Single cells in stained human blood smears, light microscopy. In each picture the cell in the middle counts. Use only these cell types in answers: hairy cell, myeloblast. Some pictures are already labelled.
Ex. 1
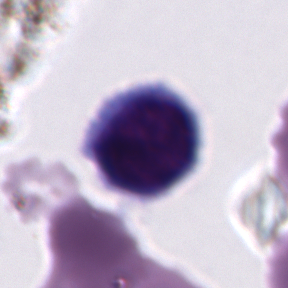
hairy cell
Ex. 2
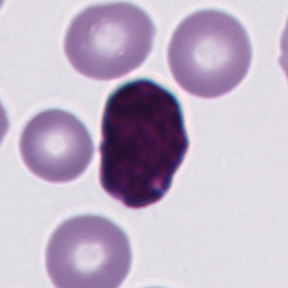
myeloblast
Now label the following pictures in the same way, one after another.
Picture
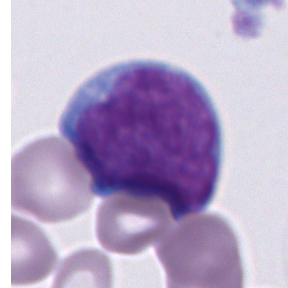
myeloblast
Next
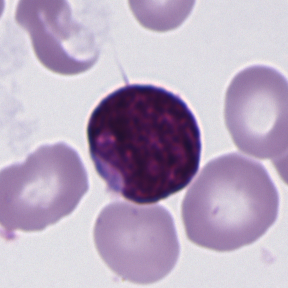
myeloblast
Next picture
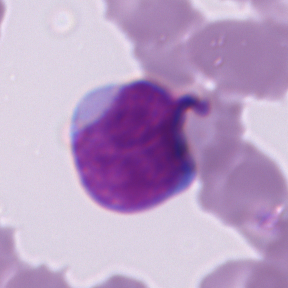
myeloblast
